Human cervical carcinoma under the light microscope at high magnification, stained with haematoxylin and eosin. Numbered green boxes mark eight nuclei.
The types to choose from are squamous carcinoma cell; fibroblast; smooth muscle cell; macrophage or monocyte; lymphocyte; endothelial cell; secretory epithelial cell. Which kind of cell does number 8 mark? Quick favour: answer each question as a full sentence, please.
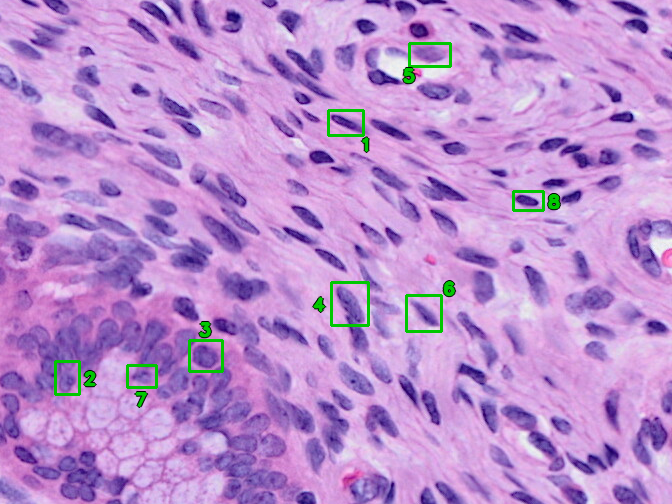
The marked cell bearing number 8 is a fibroblast.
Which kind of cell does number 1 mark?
In this section, number 1 marks a fibroblast.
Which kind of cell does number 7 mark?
Here, the cell given the number 7 is a secretory epithelial cell.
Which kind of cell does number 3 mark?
The cell identified by the number 3 is a secretory epithelial cell.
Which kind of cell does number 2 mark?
The cell referred to as 2 is a secretory epithelial cell.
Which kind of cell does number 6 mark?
As for number 6, that cell is a fibroblast.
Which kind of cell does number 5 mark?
The cell referenced by the number 5 is an endothelial cell in this field.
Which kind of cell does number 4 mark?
Numbered cell 4 is a fibroblast in this tissue section.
